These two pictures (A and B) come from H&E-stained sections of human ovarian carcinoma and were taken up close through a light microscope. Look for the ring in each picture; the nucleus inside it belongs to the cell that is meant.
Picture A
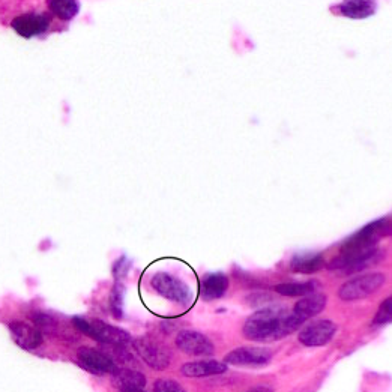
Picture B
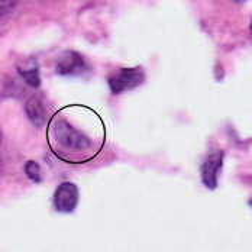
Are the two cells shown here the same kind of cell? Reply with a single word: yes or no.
yes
